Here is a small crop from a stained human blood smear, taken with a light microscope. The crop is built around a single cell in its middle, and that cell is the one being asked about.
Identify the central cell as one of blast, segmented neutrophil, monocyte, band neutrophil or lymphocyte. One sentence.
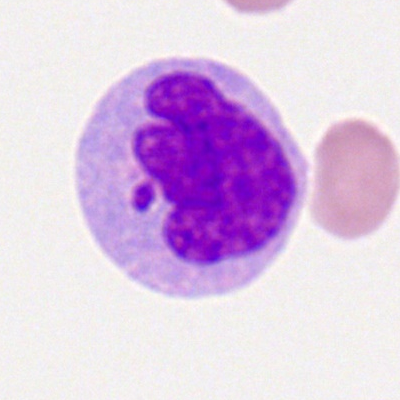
For this crop, the cell in the middle is a monocyte.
